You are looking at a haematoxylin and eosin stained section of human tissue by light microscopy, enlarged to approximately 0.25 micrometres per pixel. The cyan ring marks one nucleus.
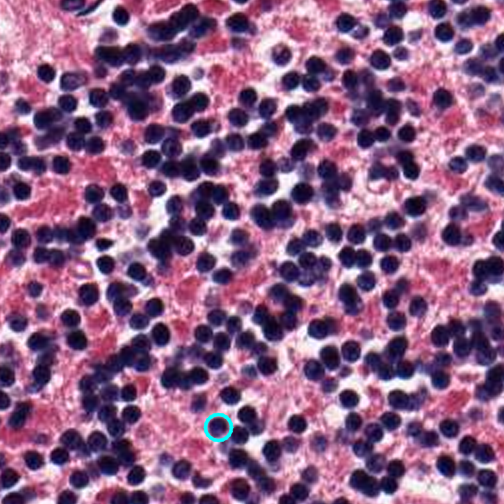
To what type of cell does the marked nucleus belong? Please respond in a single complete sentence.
The marked nucleus is the nucleus of a cerebellar granule cell.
